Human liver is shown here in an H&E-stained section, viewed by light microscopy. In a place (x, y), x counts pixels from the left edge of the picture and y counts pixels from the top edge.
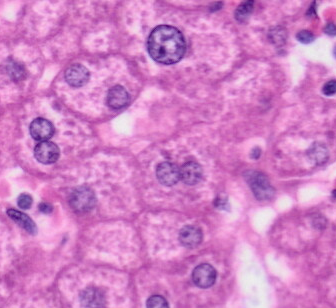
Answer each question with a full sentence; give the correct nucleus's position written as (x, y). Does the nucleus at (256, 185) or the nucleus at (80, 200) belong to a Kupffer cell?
Which one belongs to a Kupffer cell? The nucleus at (256, 185) does.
